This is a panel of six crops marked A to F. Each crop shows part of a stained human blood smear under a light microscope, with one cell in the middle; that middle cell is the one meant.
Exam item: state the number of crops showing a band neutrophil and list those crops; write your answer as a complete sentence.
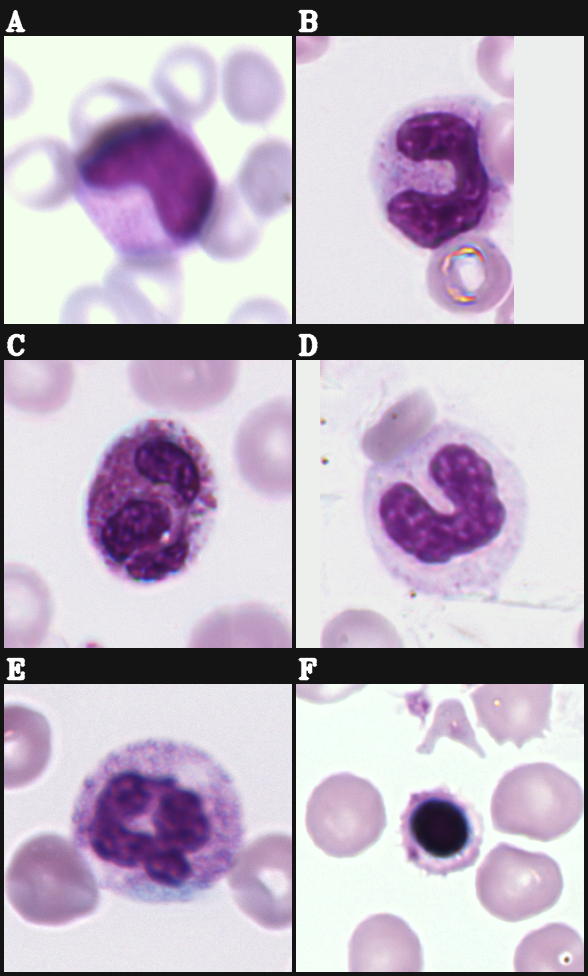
Present in three crops, A, B and D, are band neutrophils.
